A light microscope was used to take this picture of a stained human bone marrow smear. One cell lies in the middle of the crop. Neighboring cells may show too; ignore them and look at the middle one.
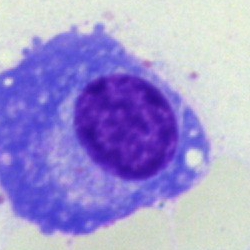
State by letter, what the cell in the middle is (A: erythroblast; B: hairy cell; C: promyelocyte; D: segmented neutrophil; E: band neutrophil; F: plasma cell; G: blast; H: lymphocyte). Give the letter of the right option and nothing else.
F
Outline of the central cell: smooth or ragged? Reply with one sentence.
Around its circumference, the cell has an uneven edge, ragged or projecting in places.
